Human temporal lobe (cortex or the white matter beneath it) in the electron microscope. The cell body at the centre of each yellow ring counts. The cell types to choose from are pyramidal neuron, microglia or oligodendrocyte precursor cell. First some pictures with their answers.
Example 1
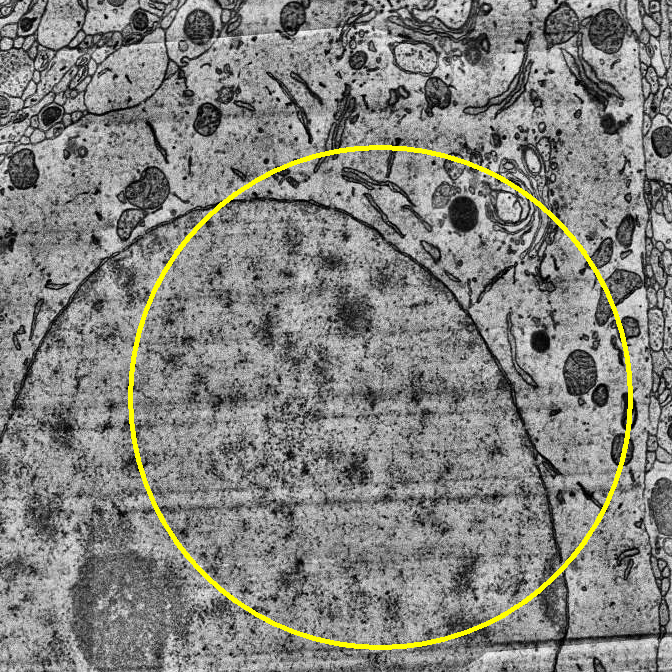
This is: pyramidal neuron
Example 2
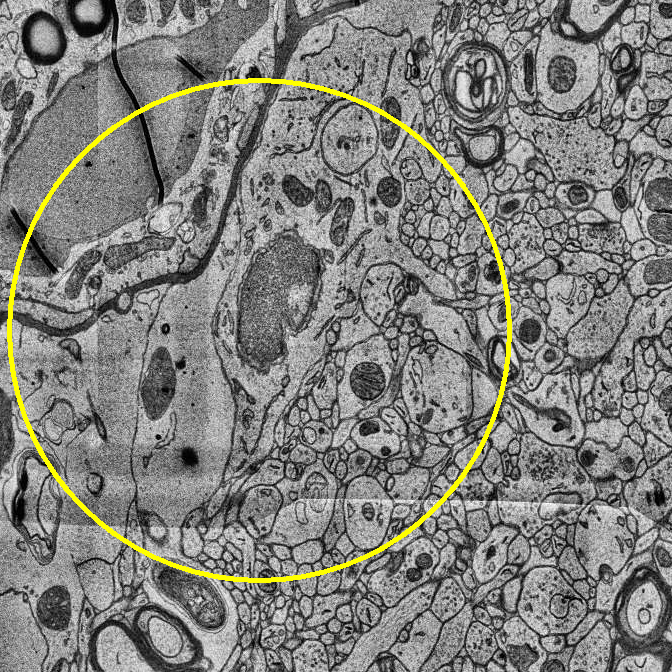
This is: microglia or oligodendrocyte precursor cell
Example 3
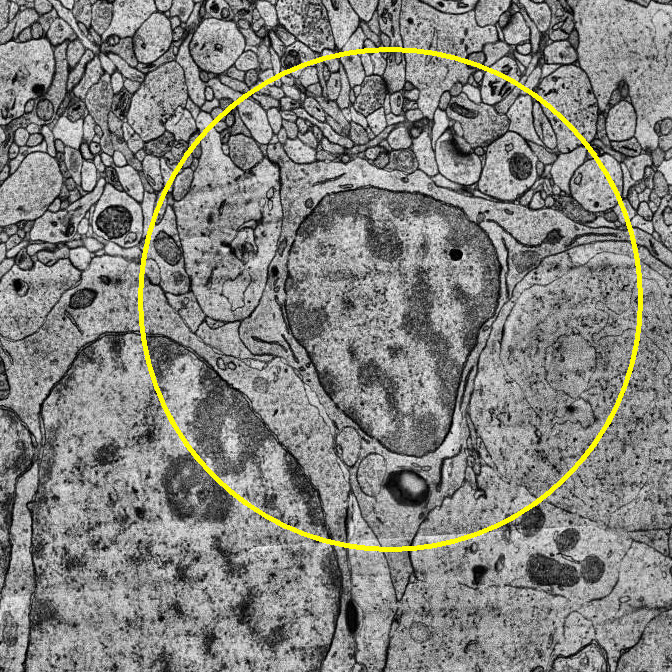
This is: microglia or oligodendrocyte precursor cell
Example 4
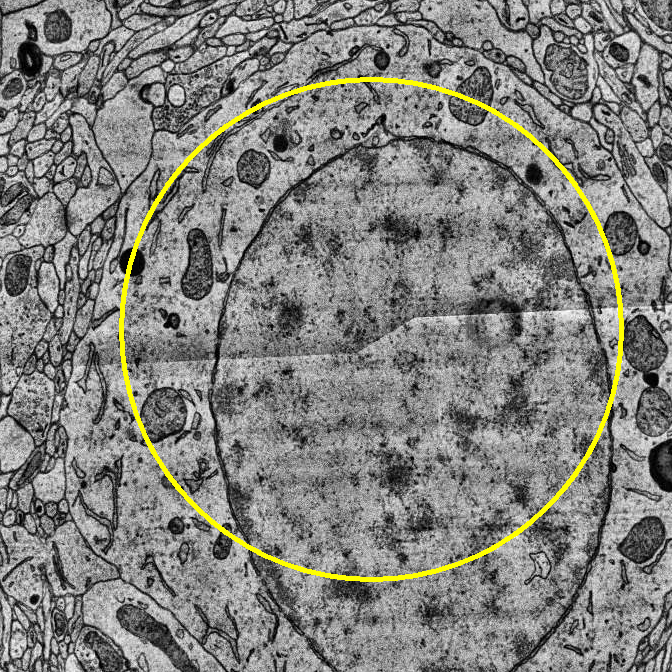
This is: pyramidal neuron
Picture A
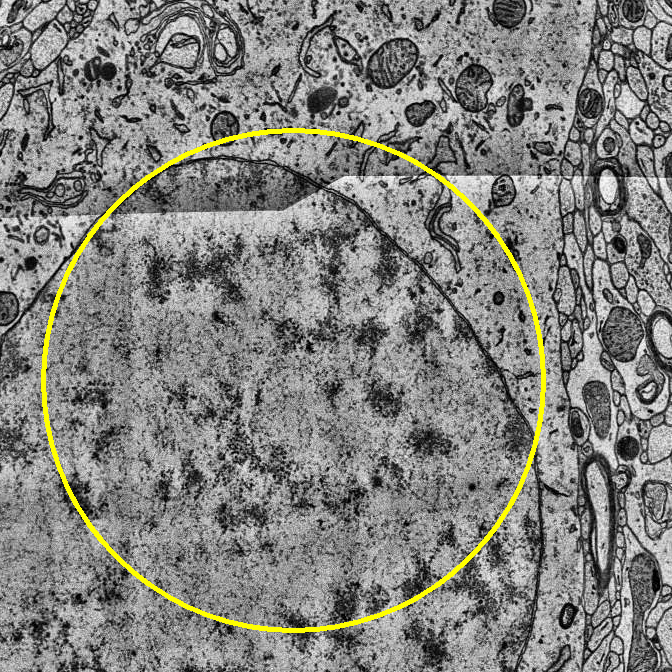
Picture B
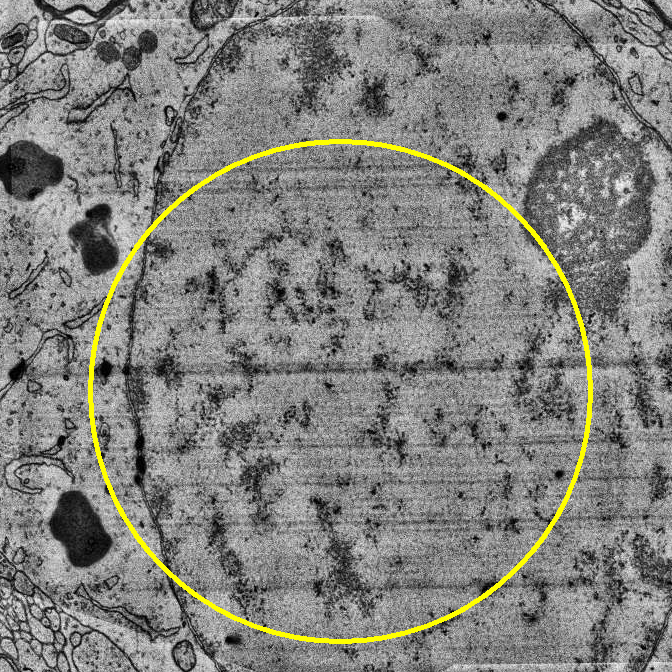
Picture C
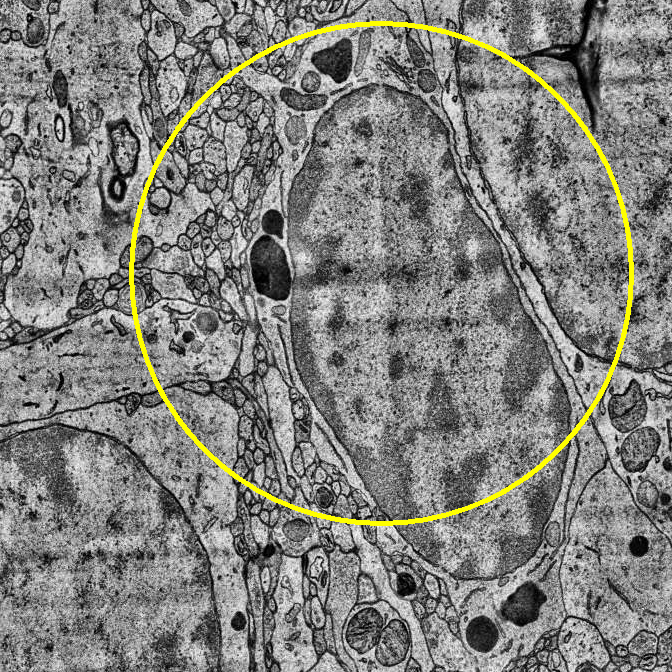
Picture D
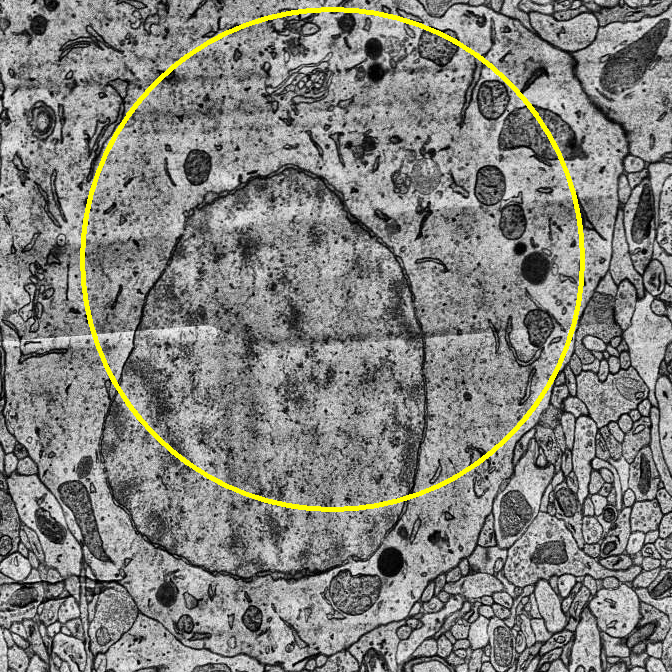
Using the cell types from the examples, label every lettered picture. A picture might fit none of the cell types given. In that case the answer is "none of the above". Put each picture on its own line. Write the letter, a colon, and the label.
A: pyramidal neuron
B: pyramidal neuron
C: microglia or oligodendrocyte precursor cell
D: pyramidal neuron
